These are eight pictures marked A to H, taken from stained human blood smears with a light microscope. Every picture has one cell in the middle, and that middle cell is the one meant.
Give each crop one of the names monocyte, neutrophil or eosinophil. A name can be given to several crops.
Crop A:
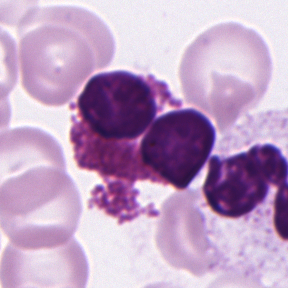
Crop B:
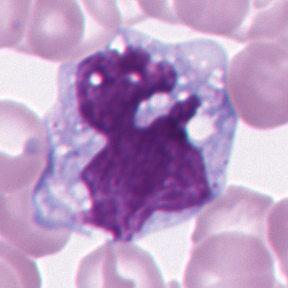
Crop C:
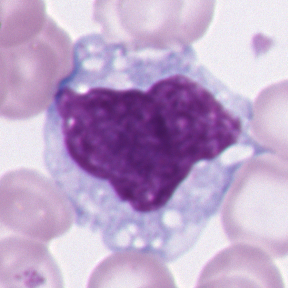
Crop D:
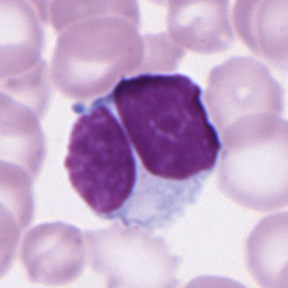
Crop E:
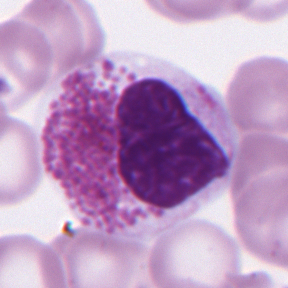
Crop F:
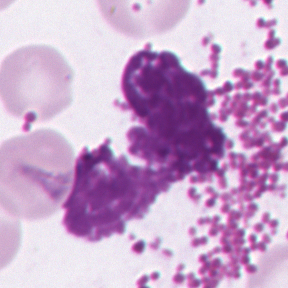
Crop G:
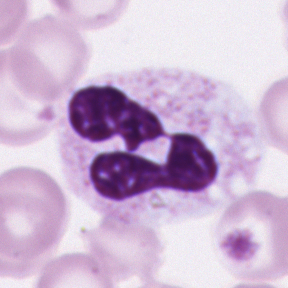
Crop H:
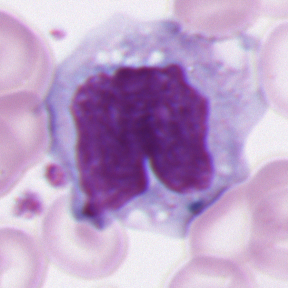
A: eosinophil
B: monocyte
C: monocyte
D: monocyte
E: eosinophil
F: eosinophil
G: neutrophil
H: monocyte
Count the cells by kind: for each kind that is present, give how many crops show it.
monocyte: 4
eosinophil: 3
neutrophil: 1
